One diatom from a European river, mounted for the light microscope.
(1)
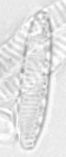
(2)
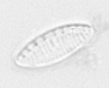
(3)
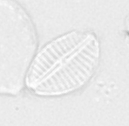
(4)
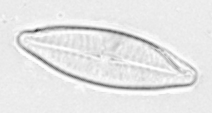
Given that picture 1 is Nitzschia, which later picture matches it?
2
